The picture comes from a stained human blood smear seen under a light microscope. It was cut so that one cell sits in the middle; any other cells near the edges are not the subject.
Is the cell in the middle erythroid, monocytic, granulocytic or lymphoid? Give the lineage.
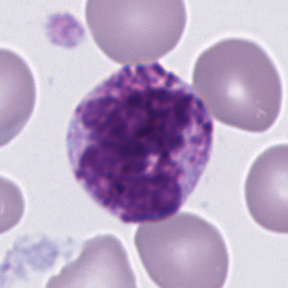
granulocytic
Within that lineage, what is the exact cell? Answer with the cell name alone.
basophil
